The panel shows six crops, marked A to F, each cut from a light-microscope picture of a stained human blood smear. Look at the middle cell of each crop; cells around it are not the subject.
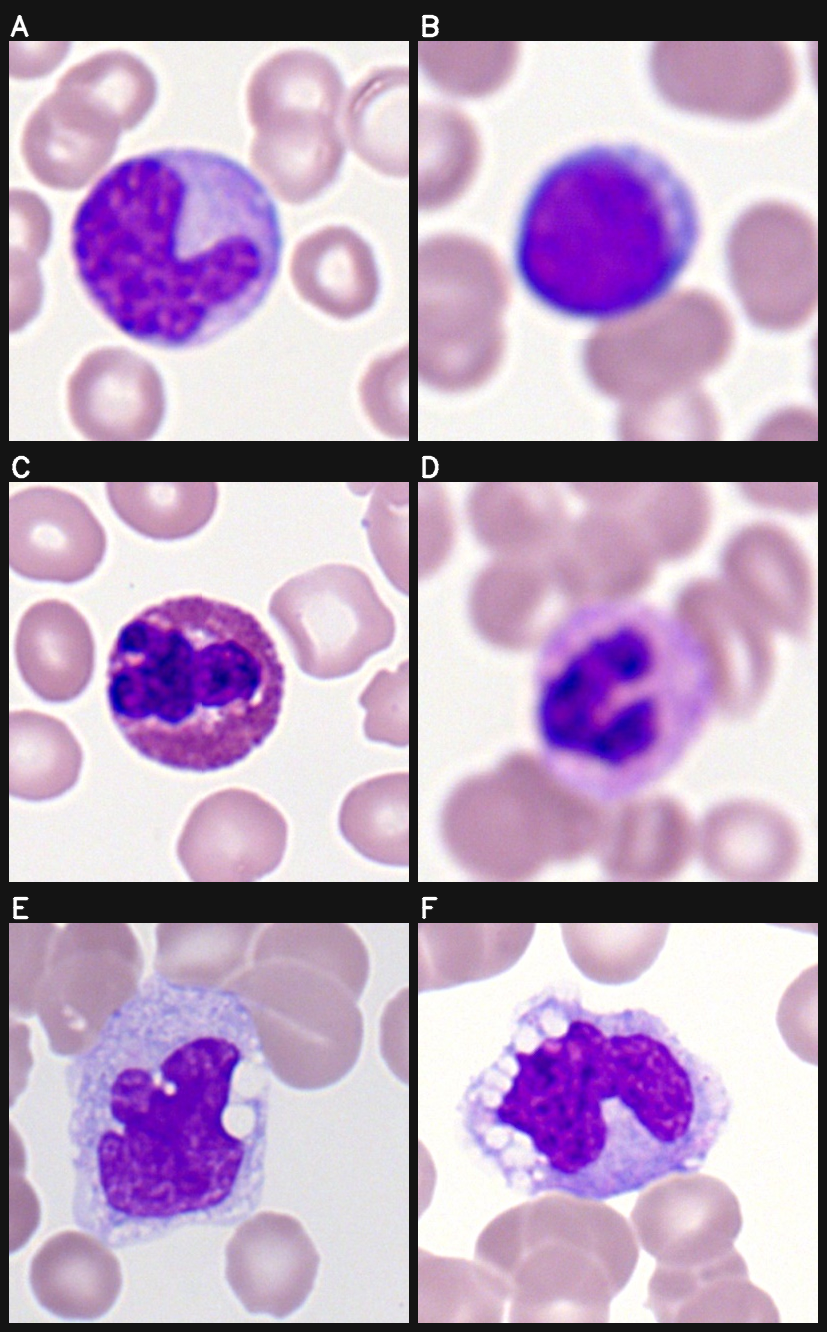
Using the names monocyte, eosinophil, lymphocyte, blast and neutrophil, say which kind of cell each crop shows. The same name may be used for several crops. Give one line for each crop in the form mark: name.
A: monocyte
B: blast
C: eosinophil
D: neutrophil
E: monocyte
F: monocyte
